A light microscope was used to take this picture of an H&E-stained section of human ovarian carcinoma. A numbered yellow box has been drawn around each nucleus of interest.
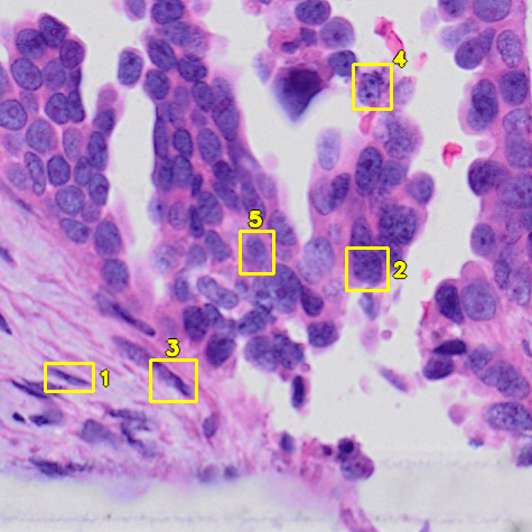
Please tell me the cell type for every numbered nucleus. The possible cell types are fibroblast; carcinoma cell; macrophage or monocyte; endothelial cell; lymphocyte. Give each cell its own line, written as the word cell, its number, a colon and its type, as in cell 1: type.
cell 1: fibroblast
cell 2: carcinoma cell
cell 3: fibroblast
cell 4: macrophage or monocyte
cell 5: carcinoma cell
